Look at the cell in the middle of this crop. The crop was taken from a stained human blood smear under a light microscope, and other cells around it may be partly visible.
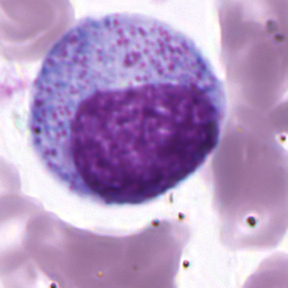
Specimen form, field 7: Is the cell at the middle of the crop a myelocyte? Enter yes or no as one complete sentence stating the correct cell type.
No, the middle cell is classified as a promyelocyte and not as a myelocyte.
